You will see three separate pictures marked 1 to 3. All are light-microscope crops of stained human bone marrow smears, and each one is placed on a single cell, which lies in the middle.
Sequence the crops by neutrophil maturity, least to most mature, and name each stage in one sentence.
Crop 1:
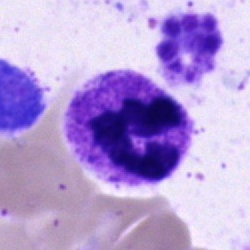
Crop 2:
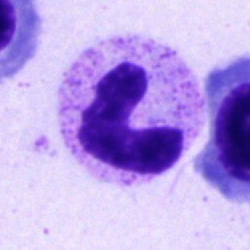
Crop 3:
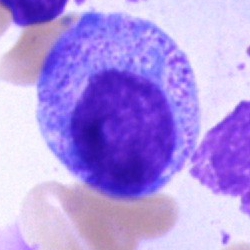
Ordered least to most mature, the series reads crop 3 (a promyelocyte), crop 2 (a band neutrophil) and crop 1 (a segmented neutrophil).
